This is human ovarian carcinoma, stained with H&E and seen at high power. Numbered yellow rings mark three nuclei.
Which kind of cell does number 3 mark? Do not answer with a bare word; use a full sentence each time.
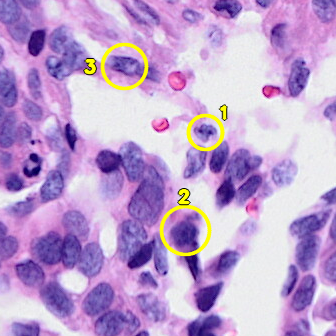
The cell pointed out as number 3 is a macrophage or monocyte.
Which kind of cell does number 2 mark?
It is as a carcinoma cell that the cell numbered 2 is identified.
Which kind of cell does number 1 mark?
Nucleus 1 in this section belongs to a lymphocyte.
